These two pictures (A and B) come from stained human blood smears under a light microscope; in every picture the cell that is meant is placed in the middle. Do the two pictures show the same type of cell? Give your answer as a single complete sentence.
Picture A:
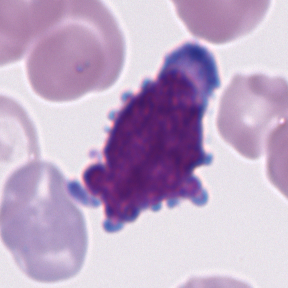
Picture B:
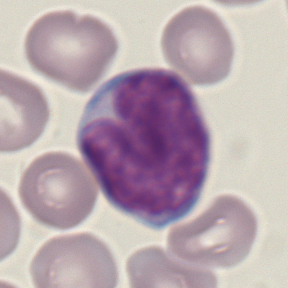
Yes, both cells are myeloblasts.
